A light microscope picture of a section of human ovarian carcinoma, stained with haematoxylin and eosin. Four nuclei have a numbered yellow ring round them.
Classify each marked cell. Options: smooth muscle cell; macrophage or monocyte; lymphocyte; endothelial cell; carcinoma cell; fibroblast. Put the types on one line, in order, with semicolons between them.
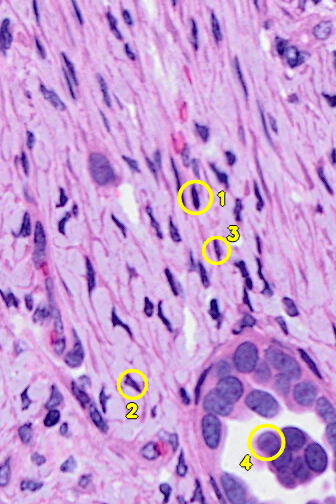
fibroblast; fibroblast; fibroblast; carcinoma cell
